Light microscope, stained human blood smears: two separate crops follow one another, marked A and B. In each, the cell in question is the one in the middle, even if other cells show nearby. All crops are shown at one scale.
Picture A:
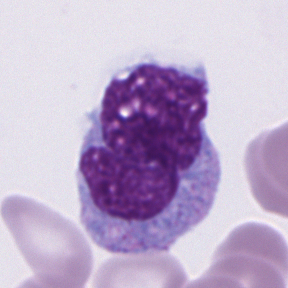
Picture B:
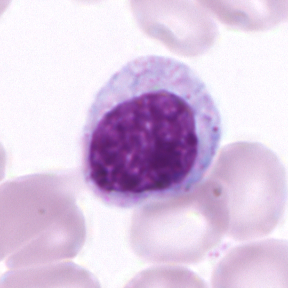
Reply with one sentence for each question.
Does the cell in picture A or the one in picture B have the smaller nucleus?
It is the nucleus in picture B; the one in picture A has about 1.5 times its area.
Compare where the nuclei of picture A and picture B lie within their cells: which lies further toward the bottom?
It is the nucleus in picture B that lies further toward the bottom of its cell.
